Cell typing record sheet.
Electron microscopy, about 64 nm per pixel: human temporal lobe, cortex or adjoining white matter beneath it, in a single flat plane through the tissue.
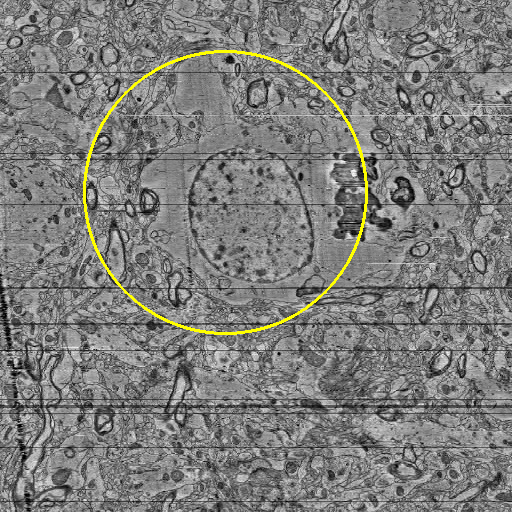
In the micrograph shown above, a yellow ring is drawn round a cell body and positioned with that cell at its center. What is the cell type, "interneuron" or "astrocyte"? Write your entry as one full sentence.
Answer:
The cell body at the center of the ring belongs to an astrocyte.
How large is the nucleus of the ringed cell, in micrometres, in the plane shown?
The nucleus measures about 9 by 8 micrometres in this plane.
